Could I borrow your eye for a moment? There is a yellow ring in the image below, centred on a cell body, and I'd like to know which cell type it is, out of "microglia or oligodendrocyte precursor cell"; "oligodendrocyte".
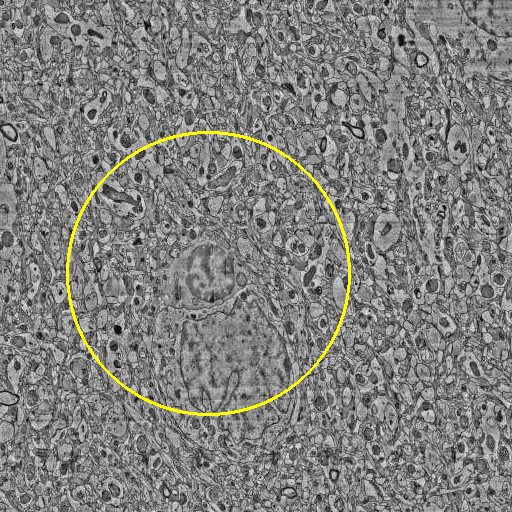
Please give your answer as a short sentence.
The cell body at the centre is that of an oligodendrocyte.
